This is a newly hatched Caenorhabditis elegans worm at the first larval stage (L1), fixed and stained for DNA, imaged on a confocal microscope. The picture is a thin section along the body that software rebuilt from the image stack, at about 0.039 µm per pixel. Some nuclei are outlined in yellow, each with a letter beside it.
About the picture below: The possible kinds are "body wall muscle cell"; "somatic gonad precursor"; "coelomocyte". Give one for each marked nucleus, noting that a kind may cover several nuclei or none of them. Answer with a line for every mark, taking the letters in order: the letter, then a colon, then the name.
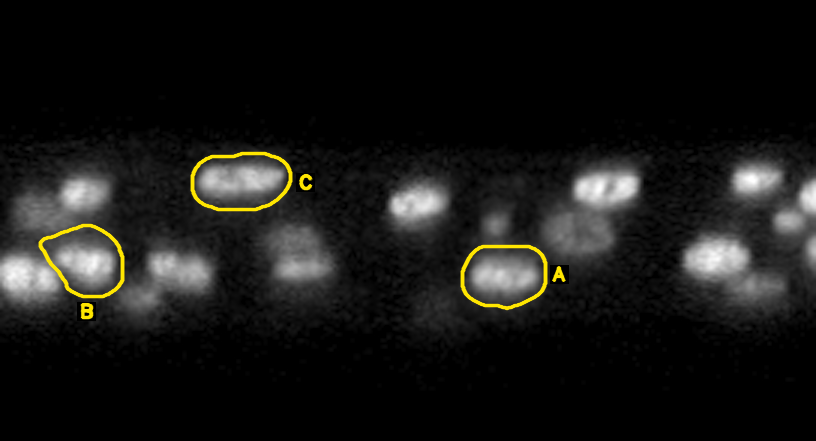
A: body wall muscle cell
B: coelomocyte
C: body wall muscle cell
